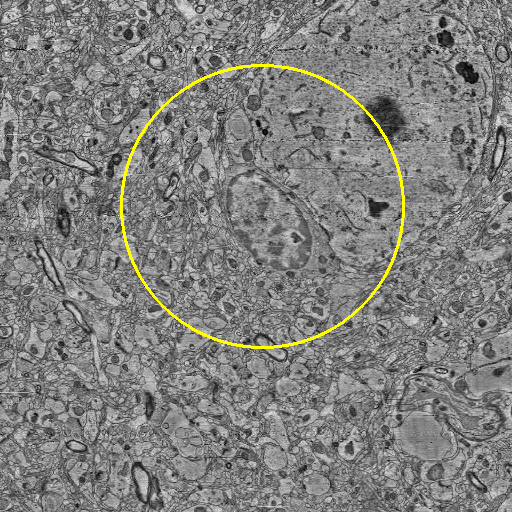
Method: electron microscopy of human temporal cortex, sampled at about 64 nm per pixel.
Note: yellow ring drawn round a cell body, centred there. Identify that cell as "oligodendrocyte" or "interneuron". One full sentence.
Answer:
The cell in the middle of the ring is an oligodendrocyte.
